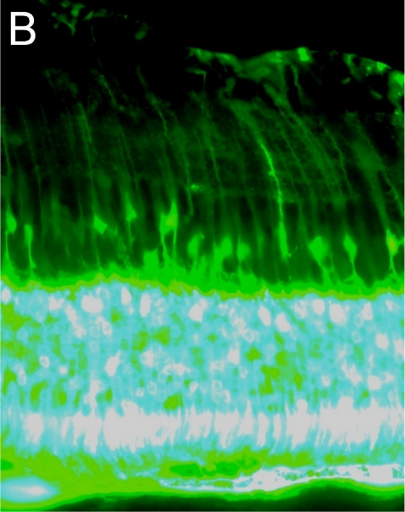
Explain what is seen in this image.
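Section of retina with green fluorescence across all its layers. At the bottom a bright green band marks the pigment epithelium, above which lies a striated band of photoreceptor segments. A thick layer of densely packed rounded photoreceptor cell bodies fills the lower middle, glowing pale, with scattered green somata. A thin bright green horizontal band marks the outer plexiform layer. Above it, green cell bodies lie in the inner nuclear layer and send slender straight radial fibres upward through the inner plexiform layer, ending in a bright fringe of endfeet at the inner surface near the ganglion cell layer.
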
